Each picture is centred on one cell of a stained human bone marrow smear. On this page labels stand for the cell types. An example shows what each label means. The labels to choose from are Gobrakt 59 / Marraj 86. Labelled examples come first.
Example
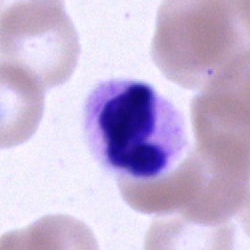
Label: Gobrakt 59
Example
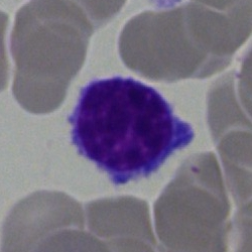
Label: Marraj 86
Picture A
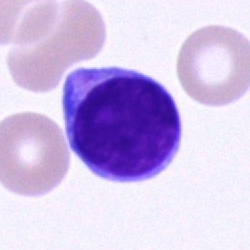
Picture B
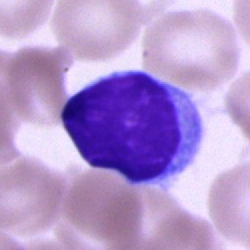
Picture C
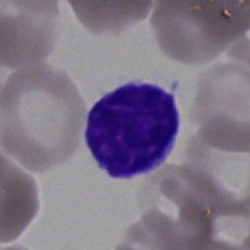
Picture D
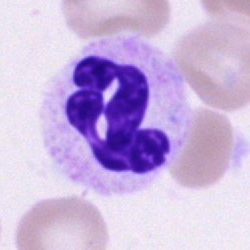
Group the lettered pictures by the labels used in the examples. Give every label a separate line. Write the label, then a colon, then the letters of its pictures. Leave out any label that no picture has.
Gobrakt 59: D
Marraj 86: A, B, C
